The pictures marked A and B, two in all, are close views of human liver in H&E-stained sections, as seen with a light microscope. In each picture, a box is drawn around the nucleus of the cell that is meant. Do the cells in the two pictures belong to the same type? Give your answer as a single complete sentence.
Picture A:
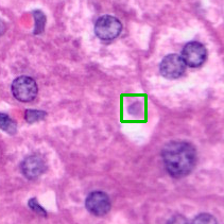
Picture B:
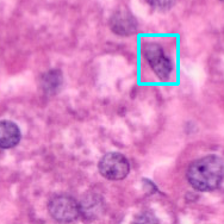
Yes, both are Kupffer cells.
